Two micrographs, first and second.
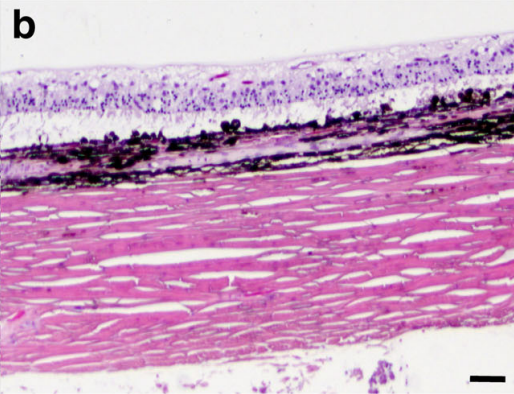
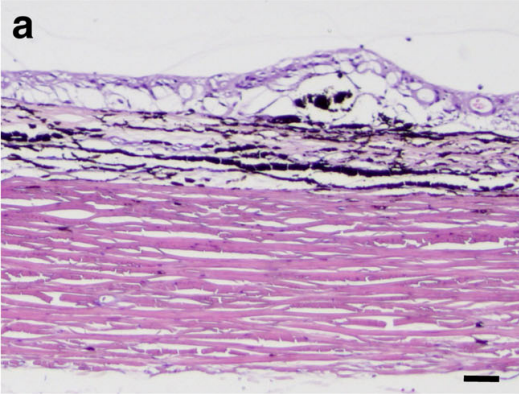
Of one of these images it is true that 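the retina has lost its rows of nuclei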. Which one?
The second image.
